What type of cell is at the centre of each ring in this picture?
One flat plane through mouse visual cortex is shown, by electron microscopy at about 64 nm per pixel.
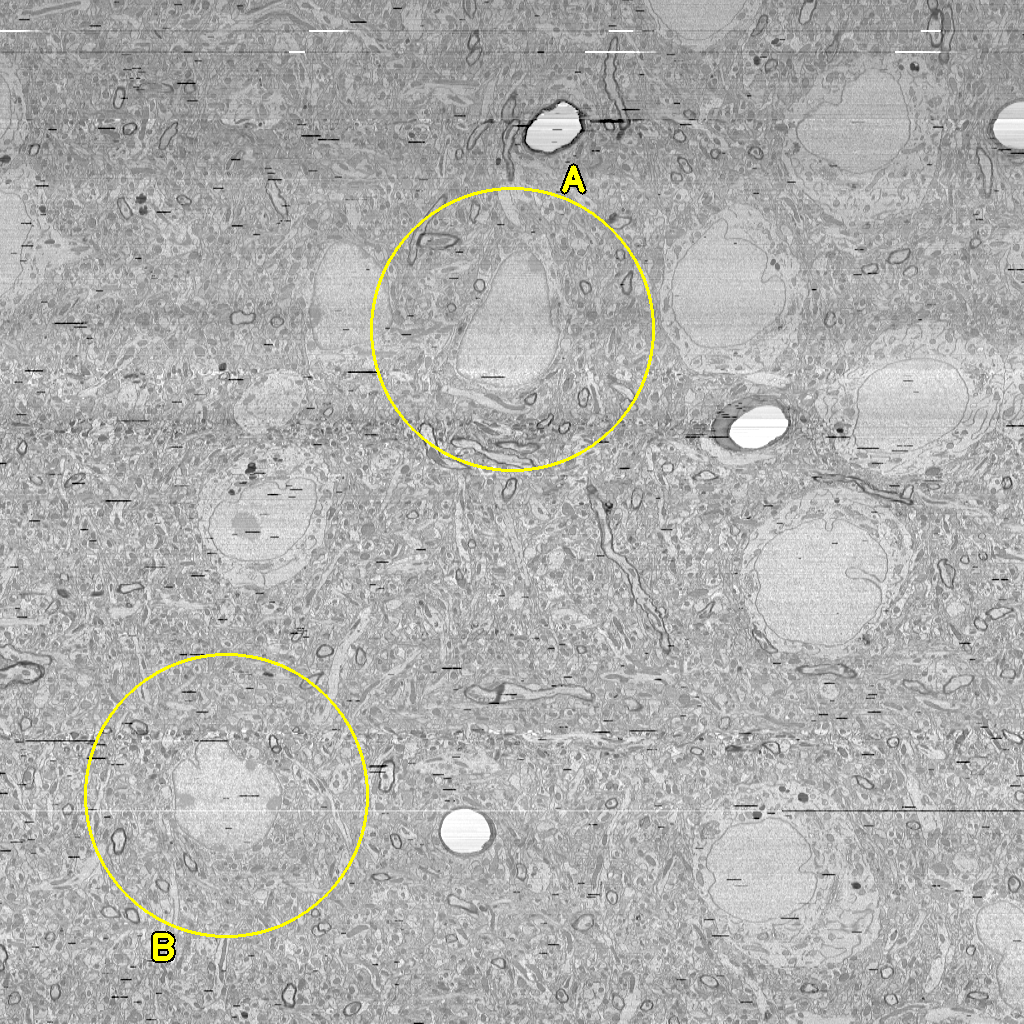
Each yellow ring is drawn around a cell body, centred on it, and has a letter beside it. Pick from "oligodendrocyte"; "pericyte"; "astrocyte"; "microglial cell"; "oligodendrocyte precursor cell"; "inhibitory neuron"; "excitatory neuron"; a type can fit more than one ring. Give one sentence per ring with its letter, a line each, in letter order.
The ring marked A is centred on an astrocyte.
The ring marked B is centred on an astrocyte.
